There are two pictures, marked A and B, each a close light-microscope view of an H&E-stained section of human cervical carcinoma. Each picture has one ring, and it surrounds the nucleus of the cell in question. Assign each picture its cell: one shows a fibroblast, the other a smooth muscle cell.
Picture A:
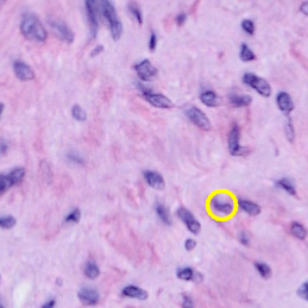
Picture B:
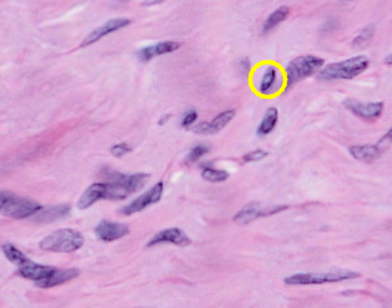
A: smooth muscle cell
B: fibroblast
